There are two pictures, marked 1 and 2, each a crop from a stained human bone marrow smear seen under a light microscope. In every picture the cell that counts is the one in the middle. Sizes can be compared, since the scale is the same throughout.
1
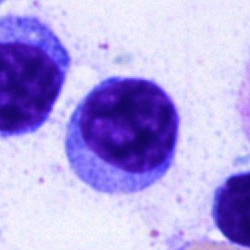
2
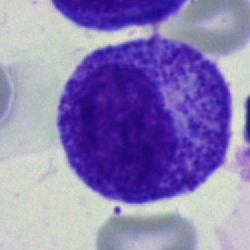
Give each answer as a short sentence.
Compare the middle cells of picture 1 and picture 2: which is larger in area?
Larger is the cell in picture 2, at roughly 2 times the area of the other.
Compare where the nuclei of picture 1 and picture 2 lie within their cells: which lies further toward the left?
The nucleus in picture 2 lies further toward the left of its cell.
